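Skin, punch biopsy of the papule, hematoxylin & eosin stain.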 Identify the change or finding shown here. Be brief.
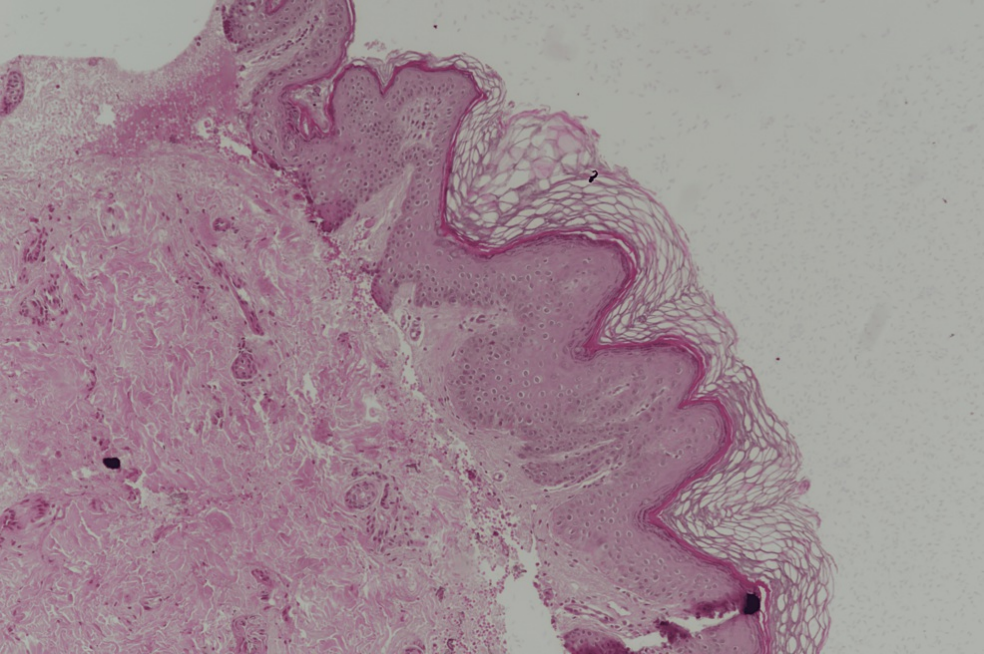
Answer: papillomatosis of the epidermis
